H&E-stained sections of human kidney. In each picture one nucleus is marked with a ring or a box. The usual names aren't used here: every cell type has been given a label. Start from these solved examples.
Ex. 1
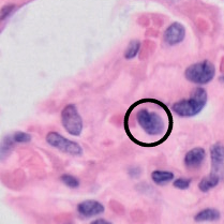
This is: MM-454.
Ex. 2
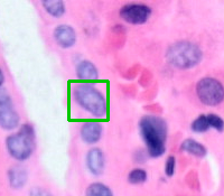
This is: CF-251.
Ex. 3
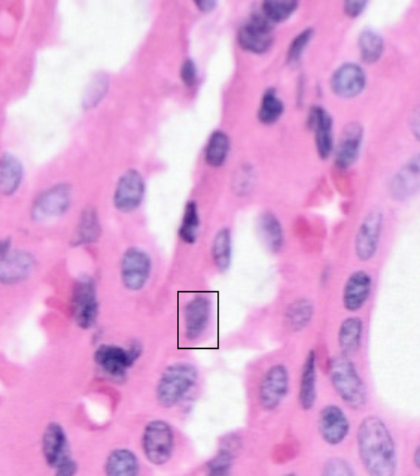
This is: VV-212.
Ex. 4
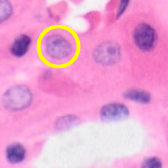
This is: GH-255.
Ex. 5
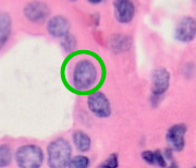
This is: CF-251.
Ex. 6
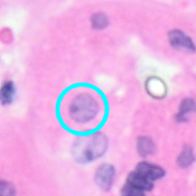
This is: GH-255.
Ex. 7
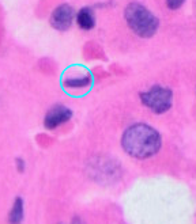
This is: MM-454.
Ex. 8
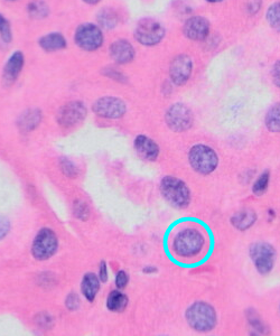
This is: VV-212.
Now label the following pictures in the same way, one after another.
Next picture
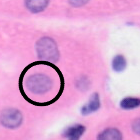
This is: GH-255.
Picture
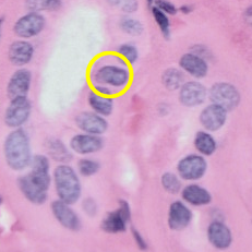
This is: CF-251.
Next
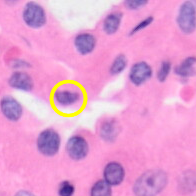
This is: VV-212.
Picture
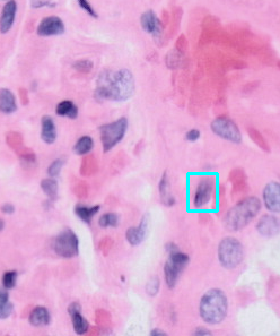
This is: MM-454.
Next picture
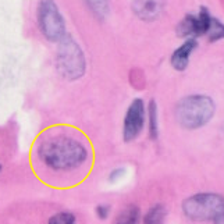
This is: GH-255.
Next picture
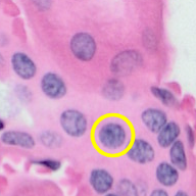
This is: CF-251.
